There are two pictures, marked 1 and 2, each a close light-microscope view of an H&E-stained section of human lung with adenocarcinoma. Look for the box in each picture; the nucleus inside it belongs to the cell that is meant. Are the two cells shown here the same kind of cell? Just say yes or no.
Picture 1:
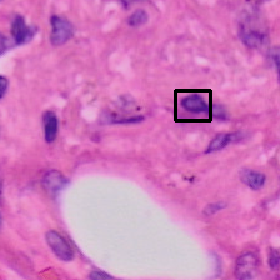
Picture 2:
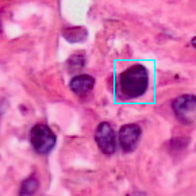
yes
